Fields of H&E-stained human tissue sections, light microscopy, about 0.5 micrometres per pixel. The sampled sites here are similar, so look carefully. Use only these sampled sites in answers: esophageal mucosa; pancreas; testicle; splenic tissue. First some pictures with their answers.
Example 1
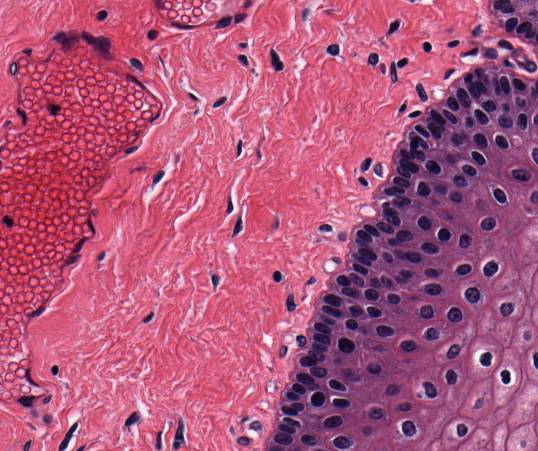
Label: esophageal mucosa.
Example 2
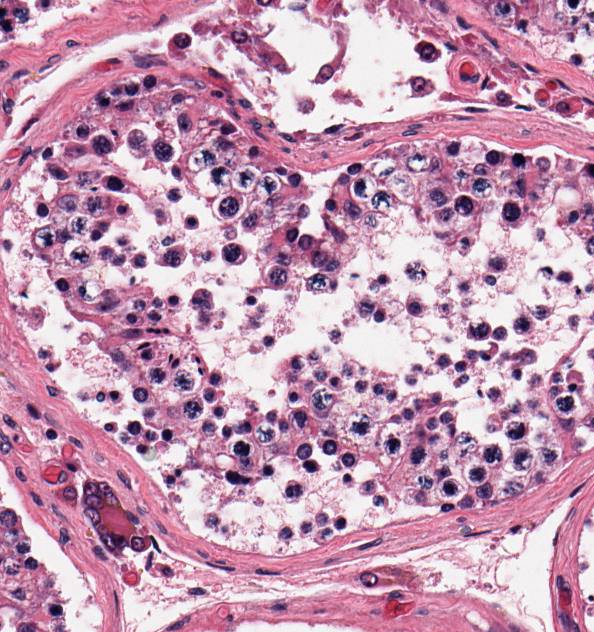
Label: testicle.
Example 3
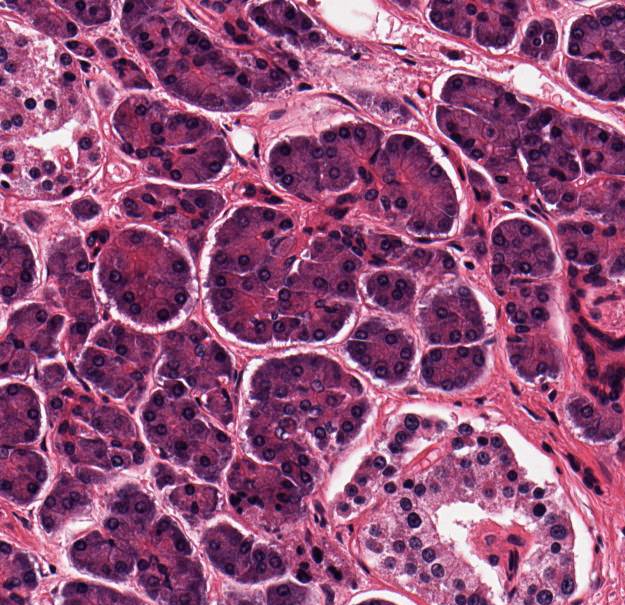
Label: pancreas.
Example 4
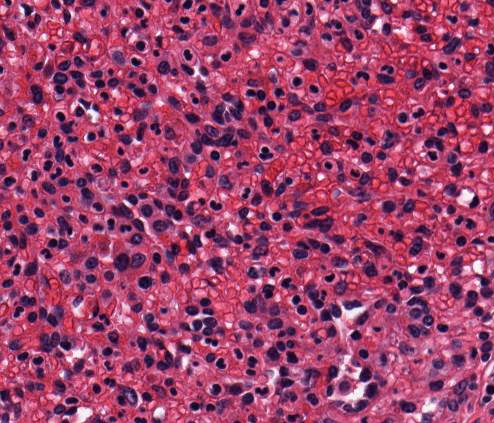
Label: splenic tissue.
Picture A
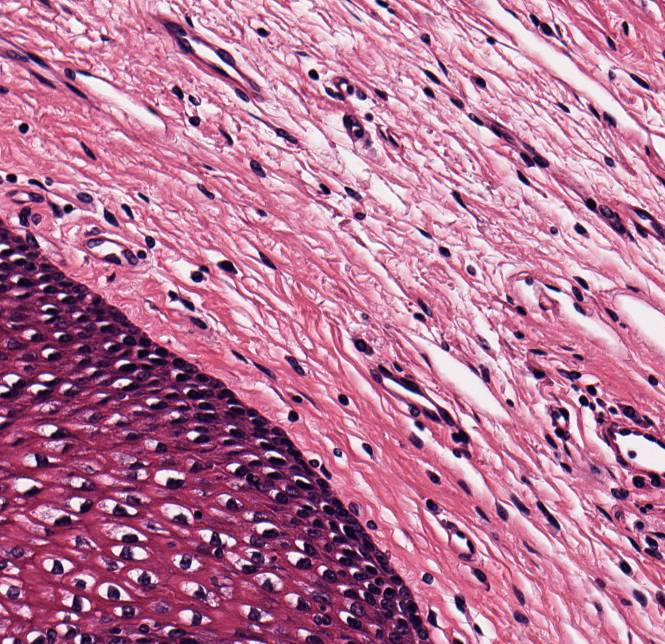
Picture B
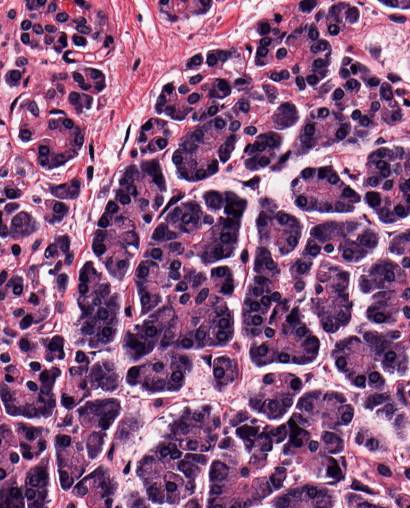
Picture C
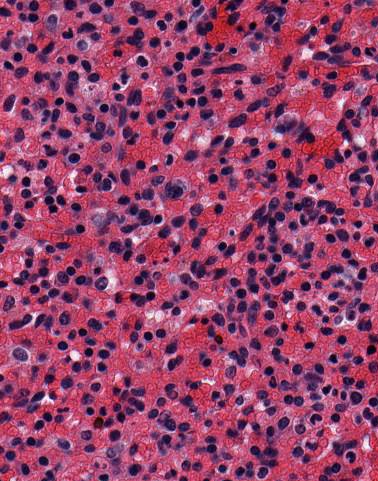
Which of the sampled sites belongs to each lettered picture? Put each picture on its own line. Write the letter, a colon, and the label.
A: esophageal mucosa.
B: pancreas.
C: splenic tissue.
